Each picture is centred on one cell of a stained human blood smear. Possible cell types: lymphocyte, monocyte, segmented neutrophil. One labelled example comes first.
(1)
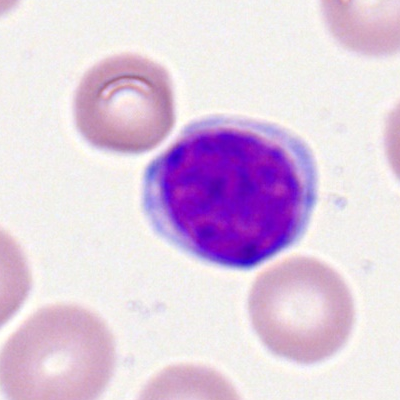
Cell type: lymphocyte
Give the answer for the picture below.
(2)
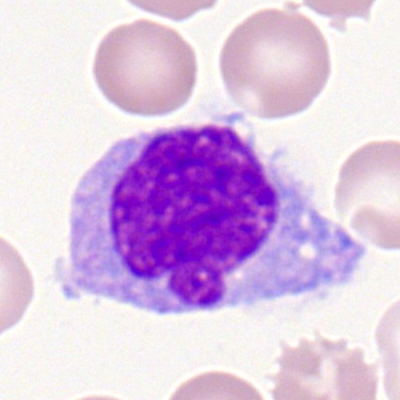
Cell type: monocyte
